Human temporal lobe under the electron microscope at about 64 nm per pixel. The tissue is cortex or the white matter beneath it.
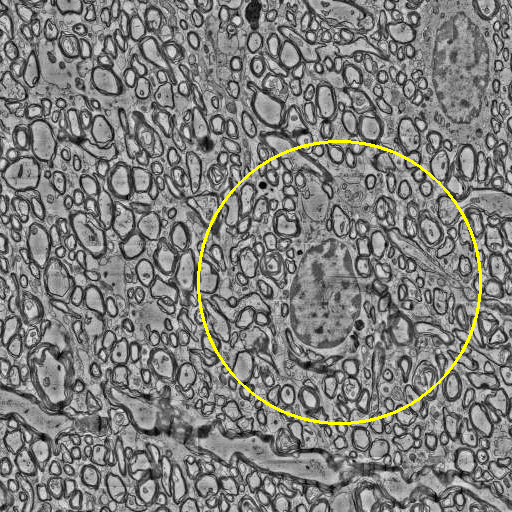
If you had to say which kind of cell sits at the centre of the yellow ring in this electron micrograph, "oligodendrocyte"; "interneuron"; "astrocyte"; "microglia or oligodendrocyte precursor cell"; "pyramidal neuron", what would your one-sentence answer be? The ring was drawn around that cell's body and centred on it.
The cell sitting at the centre of the ring is a microglial cell or oligodendrocyte precursor cell.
